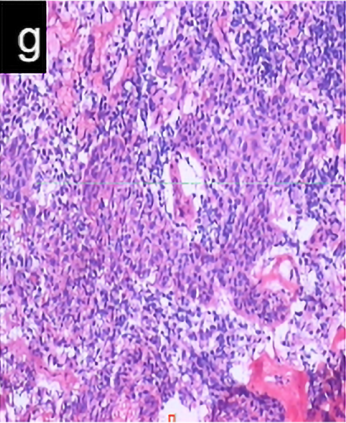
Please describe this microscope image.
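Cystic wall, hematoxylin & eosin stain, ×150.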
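Dense sheets and clusters of cells with purple nuclei of varied size and shape fill the field, spreading between pink strands and small vessels of stroma, with many small dark round nuclei scattered among them. These are heteromorphic epithelial cells growing infiltratively, accompanied by inflammatory cell infiltration.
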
